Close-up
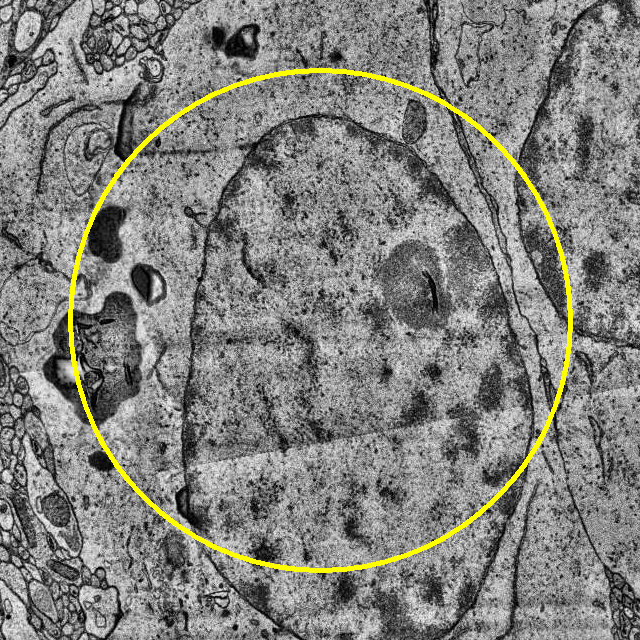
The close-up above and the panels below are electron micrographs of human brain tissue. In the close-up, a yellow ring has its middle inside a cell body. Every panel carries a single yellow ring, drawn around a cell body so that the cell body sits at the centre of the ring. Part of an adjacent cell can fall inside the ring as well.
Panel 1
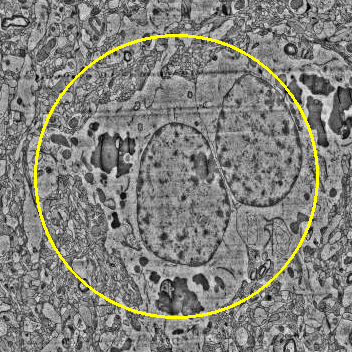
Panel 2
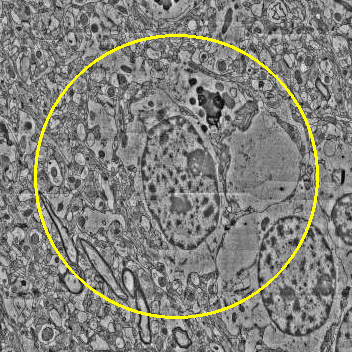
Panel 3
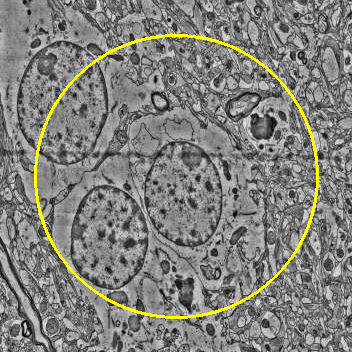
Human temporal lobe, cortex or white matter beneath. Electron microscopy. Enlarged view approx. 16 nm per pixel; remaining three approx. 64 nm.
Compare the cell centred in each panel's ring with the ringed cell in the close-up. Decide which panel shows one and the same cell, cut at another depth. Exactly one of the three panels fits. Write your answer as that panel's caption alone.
Panel 1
